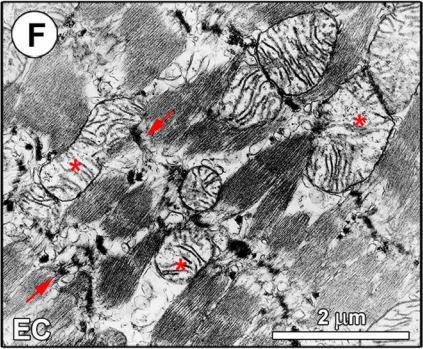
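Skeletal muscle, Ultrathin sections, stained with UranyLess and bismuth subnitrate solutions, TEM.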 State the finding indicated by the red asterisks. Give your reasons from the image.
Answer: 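Asterisked organelles are large, rounded, double-membraned bodies. Their inner folds are sparse and irregular with pale empty areas.
Hence: swollen mitochondria with disarranged or even missing cristae.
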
